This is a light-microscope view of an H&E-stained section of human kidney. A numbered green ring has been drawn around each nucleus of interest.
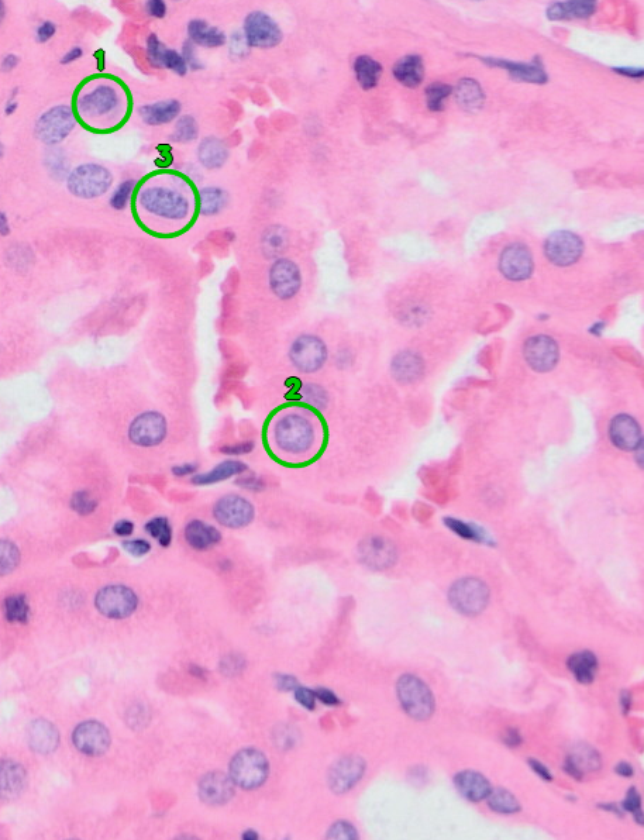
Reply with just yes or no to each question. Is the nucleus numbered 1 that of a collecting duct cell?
yes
